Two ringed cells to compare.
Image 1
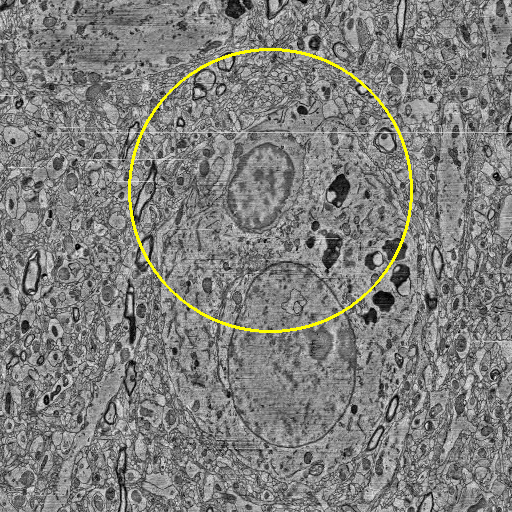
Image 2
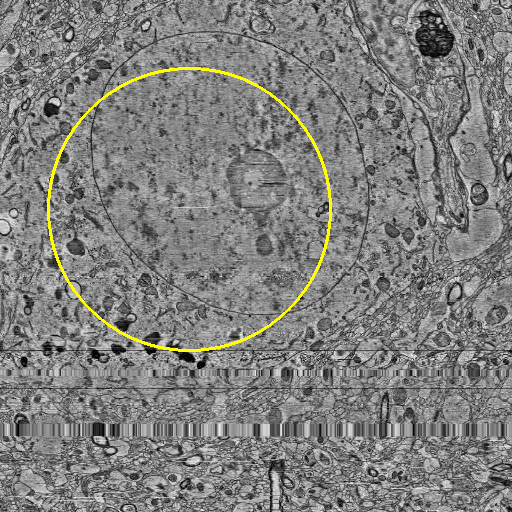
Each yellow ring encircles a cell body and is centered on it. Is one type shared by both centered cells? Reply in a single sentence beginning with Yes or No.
No, two types are found among the cells at the centers of the rings.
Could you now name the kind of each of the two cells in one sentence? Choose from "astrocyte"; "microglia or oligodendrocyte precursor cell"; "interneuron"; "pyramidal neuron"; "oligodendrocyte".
The first ring encloses an oligodendrocyte; the second ring encloses a pyramidal neuron.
